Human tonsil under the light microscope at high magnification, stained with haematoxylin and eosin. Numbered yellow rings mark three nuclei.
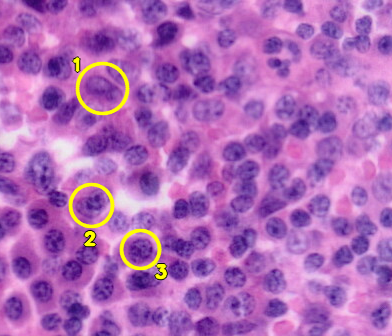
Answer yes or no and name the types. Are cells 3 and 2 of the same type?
Yes, in short, cells 3 and 2 are both plasma cells.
